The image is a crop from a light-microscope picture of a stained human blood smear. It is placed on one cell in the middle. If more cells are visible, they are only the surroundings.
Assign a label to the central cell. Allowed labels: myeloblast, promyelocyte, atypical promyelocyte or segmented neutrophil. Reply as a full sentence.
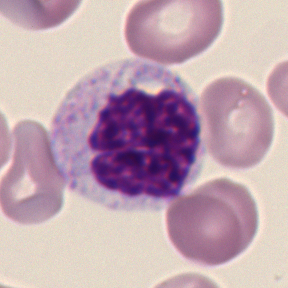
Looking at the middle of the crop, the cell there is a segmented neutrophil.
